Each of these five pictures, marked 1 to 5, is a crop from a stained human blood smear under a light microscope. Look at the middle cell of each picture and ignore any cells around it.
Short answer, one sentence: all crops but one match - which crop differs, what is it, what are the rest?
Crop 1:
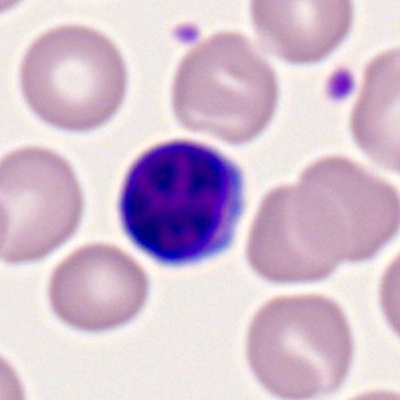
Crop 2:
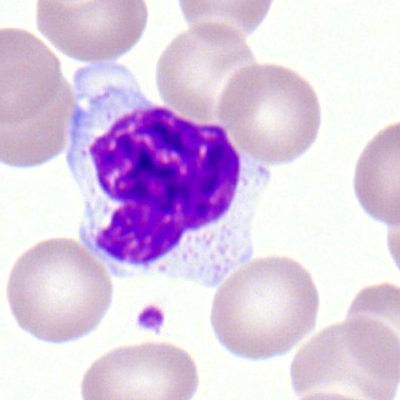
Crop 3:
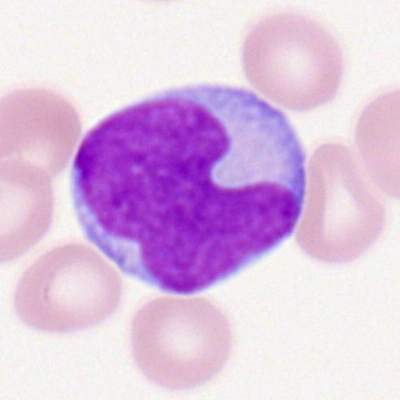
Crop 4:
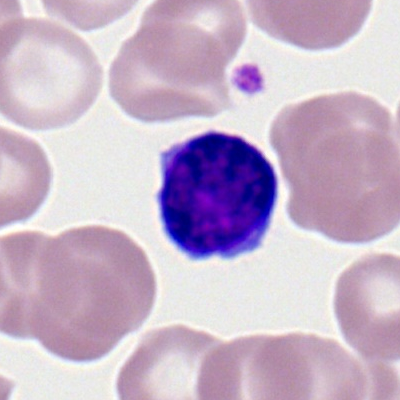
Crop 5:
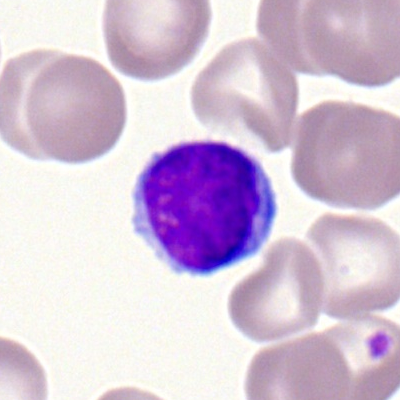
Crop 3 is the exception in this set, showing a myeloblast while the others show lymphocytes.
